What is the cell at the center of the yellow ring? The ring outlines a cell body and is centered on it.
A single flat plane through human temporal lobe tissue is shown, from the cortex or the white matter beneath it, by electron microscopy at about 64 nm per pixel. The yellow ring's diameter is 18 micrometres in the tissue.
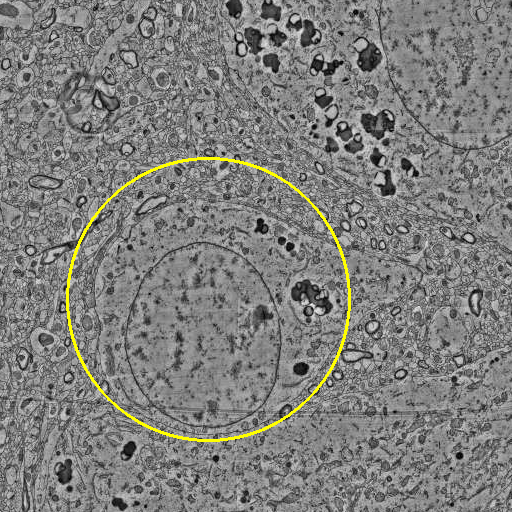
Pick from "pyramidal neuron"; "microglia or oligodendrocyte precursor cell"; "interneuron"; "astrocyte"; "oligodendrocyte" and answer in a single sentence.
The yellow ring is centered on a pyramidal neuron.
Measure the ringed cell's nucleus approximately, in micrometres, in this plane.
In this plane the nucleus measures roughly 12 by 10 micrometers.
